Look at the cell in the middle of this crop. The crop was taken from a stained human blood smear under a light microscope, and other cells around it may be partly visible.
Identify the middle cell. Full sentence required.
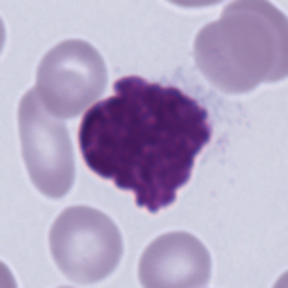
At the middle of the frame sits a smudge cell.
